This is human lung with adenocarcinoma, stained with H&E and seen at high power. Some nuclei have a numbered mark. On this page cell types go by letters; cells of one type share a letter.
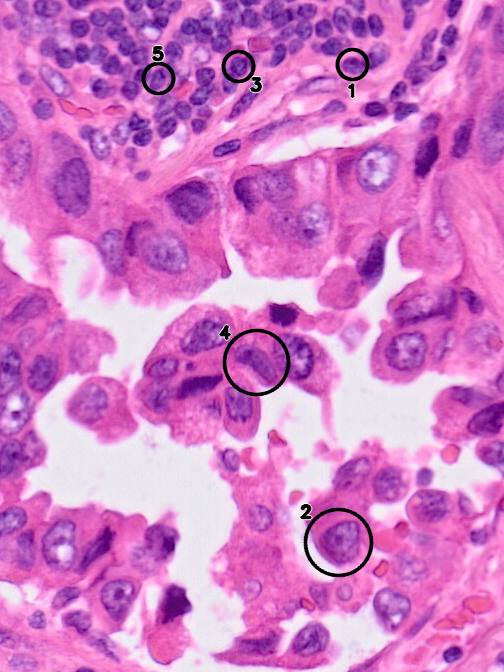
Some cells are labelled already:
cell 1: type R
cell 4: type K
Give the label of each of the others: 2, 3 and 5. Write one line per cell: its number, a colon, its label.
2: type K
3: type R
5: type R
